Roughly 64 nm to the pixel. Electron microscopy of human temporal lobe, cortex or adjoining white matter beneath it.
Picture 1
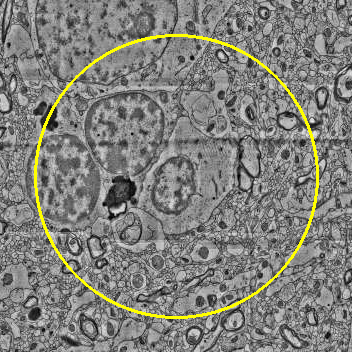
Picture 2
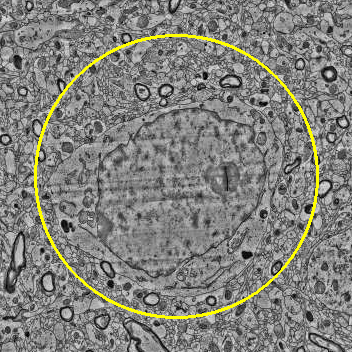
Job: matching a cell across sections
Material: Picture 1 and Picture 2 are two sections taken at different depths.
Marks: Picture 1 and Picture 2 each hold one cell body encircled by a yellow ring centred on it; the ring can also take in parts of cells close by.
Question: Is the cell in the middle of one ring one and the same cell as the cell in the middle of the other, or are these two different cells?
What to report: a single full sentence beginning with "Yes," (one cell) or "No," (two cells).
No, it is two different cells that the rings mark.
